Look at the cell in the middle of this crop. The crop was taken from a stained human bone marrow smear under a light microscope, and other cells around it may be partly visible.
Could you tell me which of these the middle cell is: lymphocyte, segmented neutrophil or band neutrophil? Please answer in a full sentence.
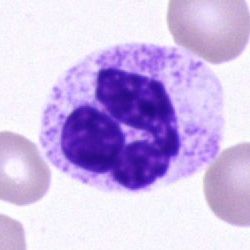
At the center of the crop sits a segmented neutrophil.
